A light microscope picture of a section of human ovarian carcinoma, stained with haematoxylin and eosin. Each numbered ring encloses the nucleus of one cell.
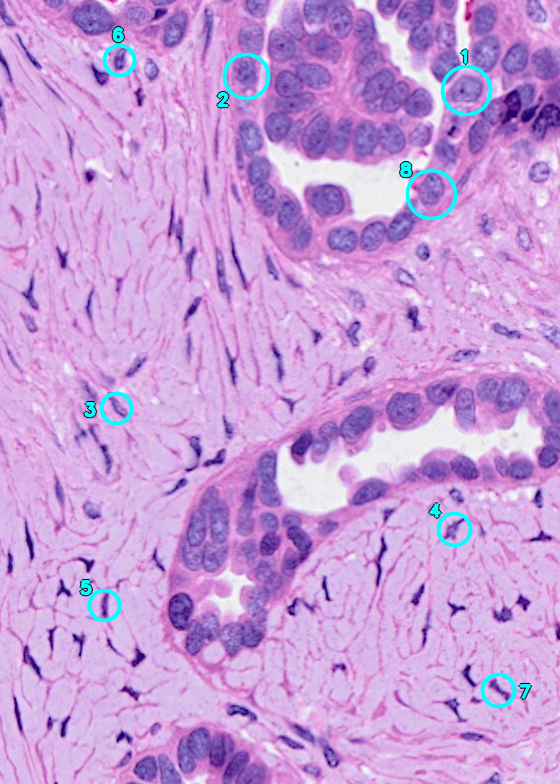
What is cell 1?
carcinoma cell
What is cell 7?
fibroblast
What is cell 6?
fibroblast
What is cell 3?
fibroblast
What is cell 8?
carcinoma cell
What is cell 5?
fibroblast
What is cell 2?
carcinoma cell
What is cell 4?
fibroblast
